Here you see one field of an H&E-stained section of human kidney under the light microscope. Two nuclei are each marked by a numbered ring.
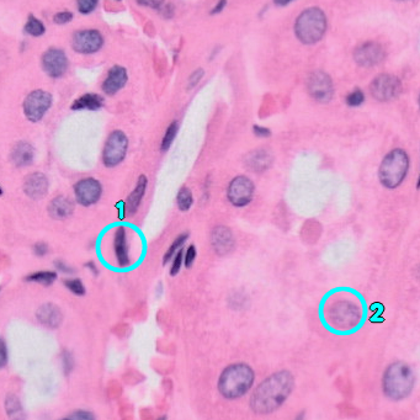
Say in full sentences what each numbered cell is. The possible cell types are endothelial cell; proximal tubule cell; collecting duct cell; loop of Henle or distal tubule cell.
Cell 1 is a collecting duct cell. Cell 2 is a proximal tubule cell.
